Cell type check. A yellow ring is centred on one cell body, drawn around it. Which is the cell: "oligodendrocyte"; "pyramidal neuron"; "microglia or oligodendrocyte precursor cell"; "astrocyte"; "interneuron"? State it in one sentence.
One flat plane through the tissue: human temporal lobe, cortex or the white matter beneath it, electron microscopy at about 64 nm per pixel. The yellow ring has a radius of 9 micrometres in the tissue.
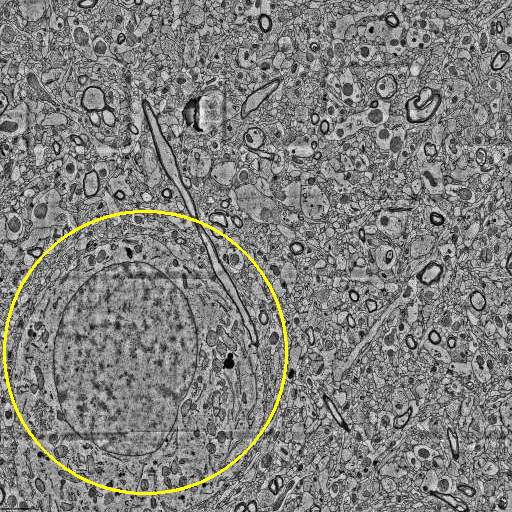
The cell body at the ring's centre belongs to an interneuron.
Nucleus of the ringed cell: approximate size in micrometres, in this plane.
The ringed cell's nucleus measures approximately 13 by 9 micrometres in this plane.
